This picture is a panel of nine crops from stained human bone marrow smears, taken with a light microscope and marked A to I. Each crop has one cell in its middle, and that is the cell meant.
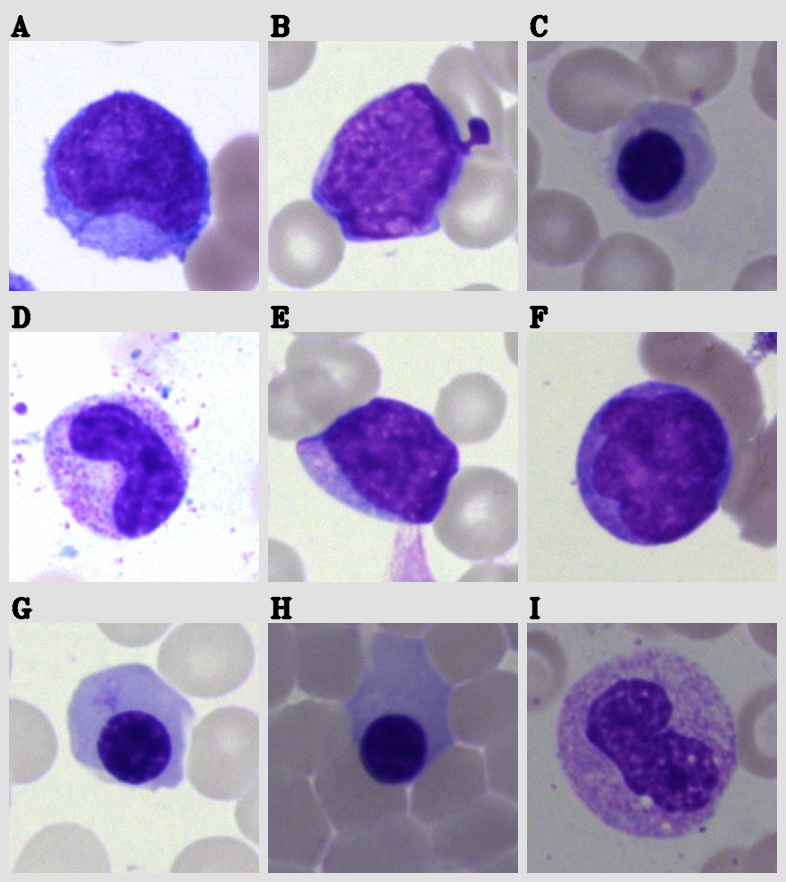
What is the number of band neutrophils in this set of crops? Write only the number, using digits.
2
